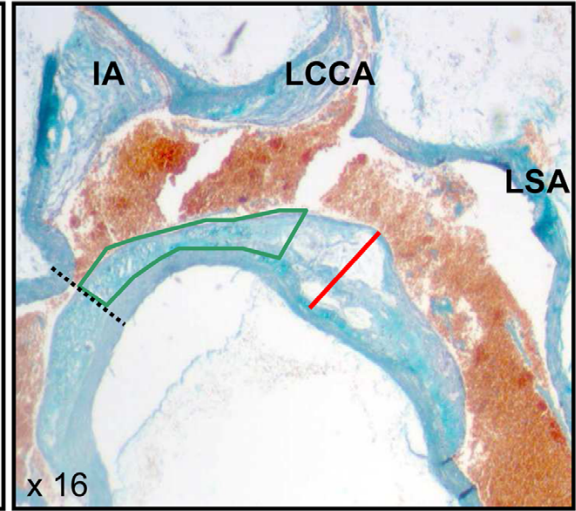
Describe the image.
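This is a lengthwise section through the aortic arch, whose wall stains blue-green, with three branch vessels arising from its upper, outer curve. The wall along the inner, lesser curvature, opposite the branch origins, is thick and layered.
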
